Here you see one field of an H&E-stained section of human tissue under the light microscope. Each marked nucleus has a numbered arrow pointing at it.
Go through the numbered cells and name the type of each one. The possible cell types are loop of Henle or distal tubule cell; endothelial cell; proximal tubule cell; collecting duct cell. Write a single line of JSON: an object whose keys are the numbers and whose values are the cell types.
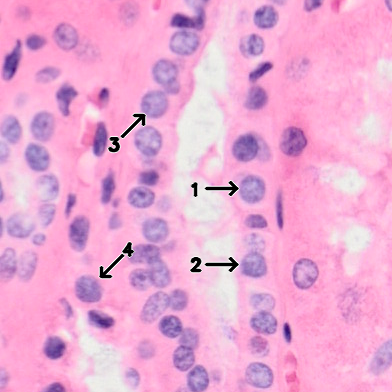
{"1": "collecting duct cell", "2": "collecting duct cell", "3": "collecting duct cell", "4": "loop of Henle or distal tubule cell"}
